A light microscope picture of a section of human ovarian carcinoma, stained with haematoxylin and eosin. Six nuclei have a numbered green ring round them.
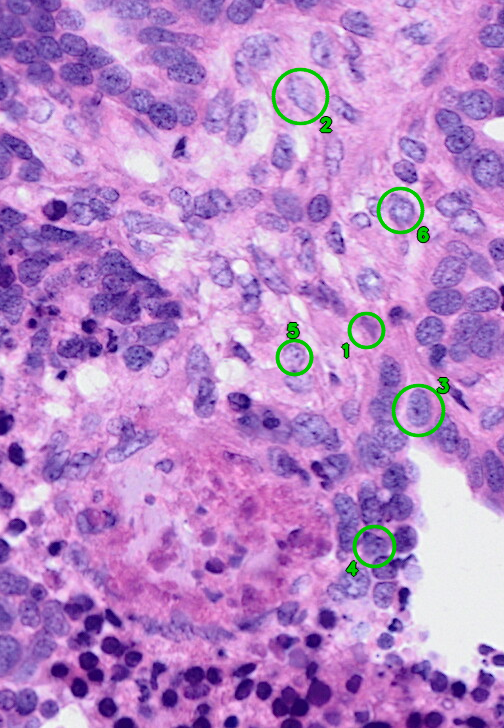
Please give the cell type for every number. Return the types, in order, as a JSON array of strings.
["fibroblast", "fibroblast", "carcinoma cell", "carcinoma cell", "fibroblast", "fibroblast"]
